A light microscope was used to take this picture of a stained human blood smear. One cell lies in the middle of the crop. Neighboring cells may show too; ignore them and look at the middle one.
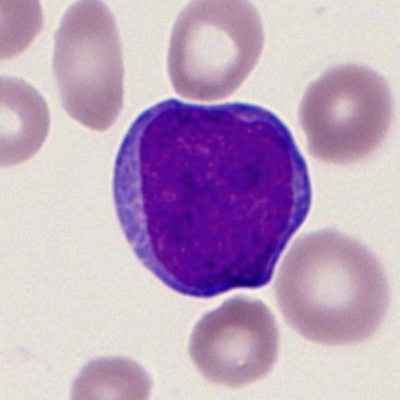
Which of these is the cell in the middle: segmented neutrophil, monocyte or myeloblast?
myeloblast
